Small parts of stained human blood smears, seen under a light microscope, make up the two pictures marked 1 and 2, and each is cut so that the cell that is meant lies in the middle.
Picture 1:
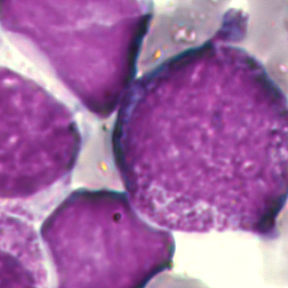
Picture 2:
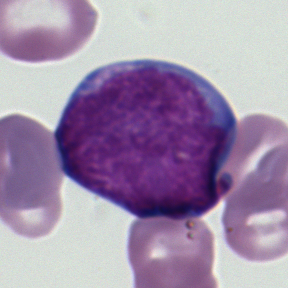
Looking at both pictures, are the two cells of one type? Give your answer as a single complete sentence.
No; the cell in picture 1 is a promyelocyte, while the one in picture 2 is a myeloblast.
